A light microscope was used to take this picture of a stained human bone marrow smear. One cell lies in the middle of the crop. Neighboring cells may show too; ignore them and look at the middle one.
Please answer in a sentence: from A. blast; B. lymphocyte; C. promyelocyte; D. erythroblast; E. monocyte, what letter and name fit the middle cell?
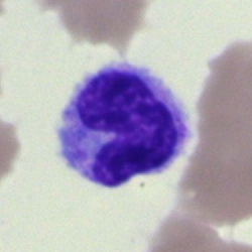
The one cell at the centre is a monocyte, as correctly stated in option E.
